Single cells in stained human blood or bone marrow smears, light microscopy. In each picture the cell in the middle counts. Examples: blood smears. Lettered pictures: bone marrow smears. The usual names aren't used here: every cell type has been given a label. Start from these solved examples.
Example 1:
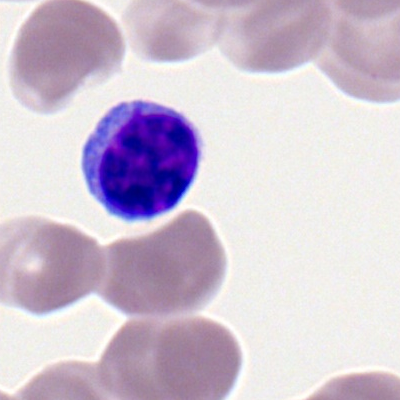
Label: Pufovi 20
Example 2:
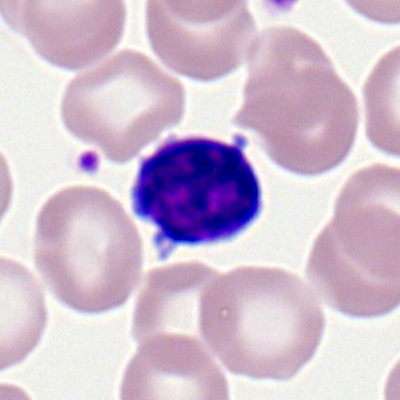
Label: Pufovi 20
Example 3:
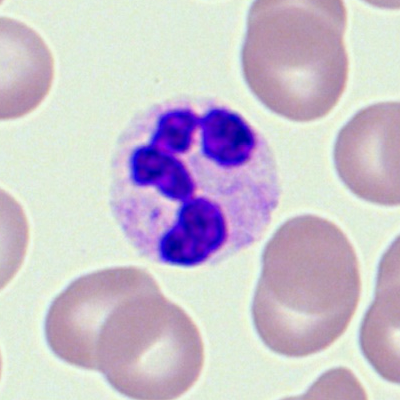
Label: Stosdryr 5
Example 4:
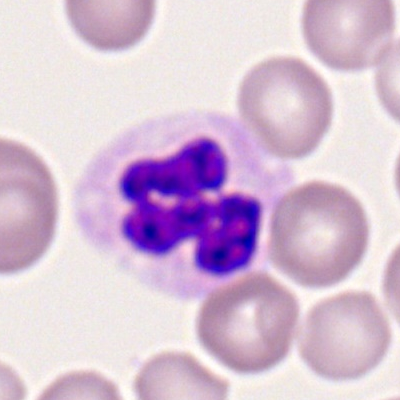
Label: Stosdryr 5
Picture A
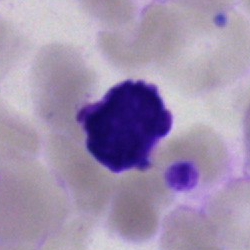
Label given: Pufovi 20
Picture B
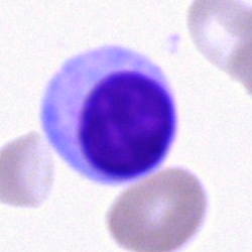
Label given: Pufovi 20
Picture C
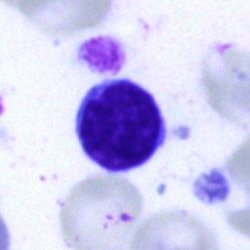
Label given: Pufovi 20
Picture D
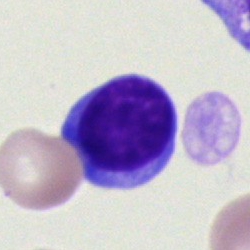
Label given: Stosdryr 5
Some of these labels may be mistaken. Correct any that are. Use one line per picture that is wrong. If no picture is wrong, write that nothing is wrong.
D: Pufovi 20, not Stosdryr 5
